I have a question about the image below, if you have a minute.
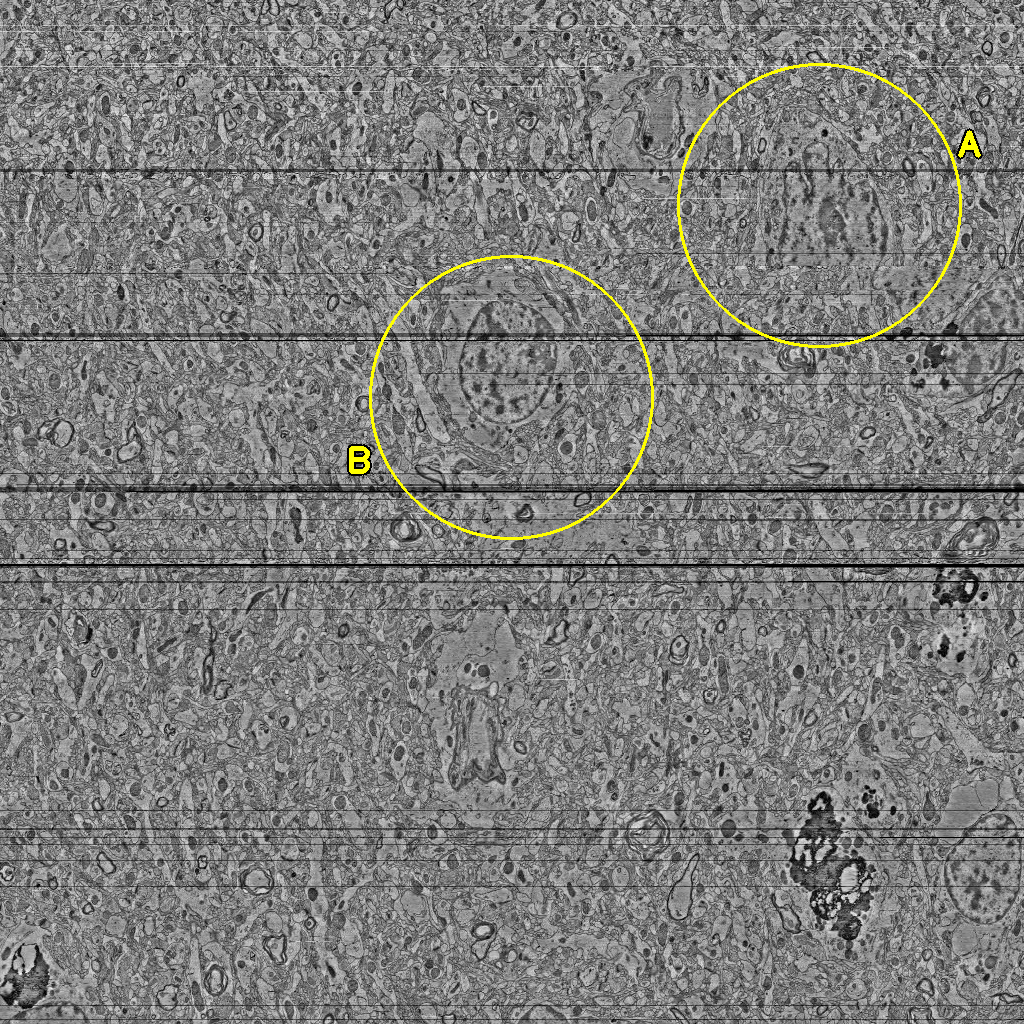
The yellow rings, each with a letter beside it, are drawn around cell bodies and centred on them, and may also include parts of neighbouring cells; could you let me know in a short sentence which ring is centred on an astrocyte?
Ring B is centred on it.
